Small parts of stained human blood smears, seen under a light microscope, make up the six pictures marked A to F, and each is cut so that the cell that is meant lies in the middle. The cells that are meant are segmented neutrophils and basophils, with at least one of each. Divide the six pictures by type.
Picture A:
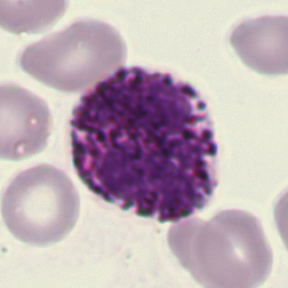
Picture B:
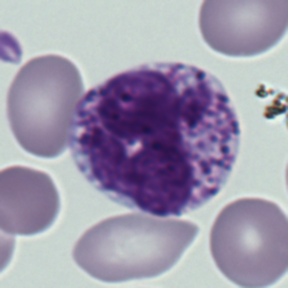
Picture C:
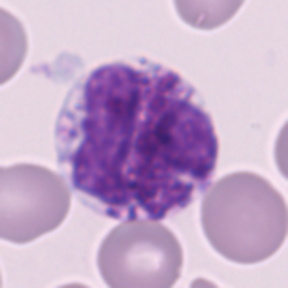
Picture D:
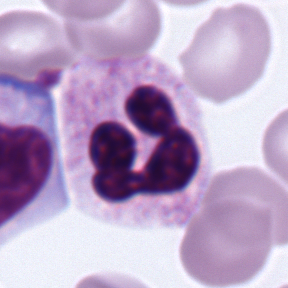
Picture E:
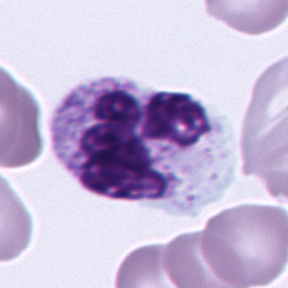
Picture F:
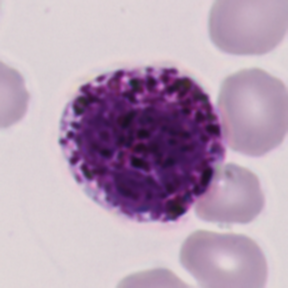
A: basophil
B: basophil
C: basophil
D: segmented neutrophil
E: segmented neutrophil
F: basophil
